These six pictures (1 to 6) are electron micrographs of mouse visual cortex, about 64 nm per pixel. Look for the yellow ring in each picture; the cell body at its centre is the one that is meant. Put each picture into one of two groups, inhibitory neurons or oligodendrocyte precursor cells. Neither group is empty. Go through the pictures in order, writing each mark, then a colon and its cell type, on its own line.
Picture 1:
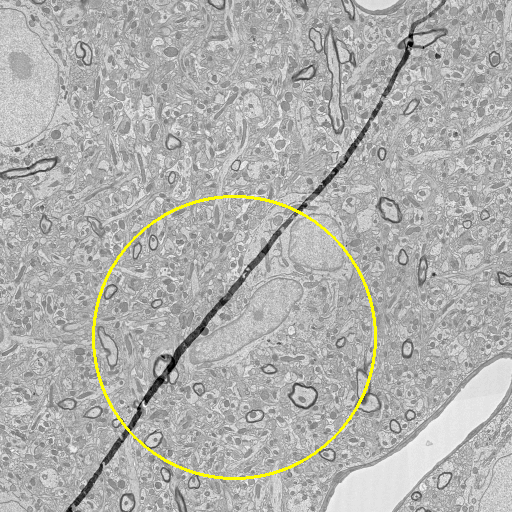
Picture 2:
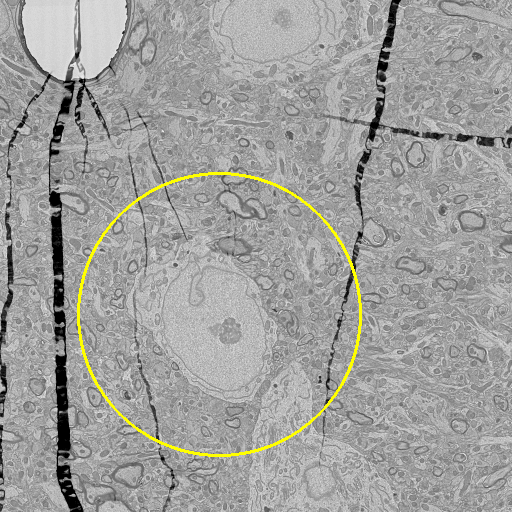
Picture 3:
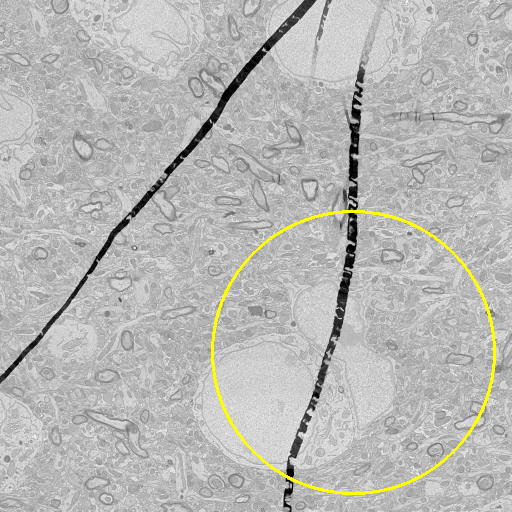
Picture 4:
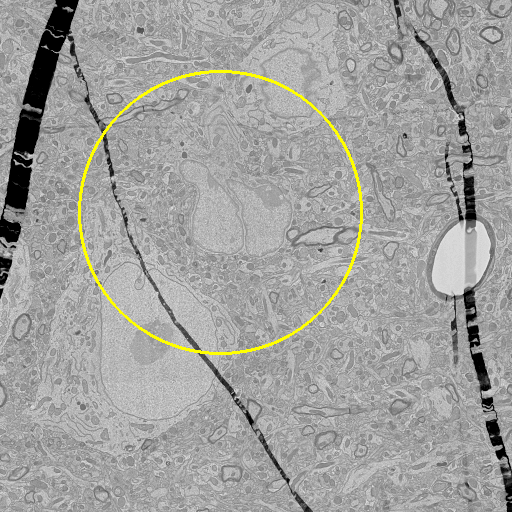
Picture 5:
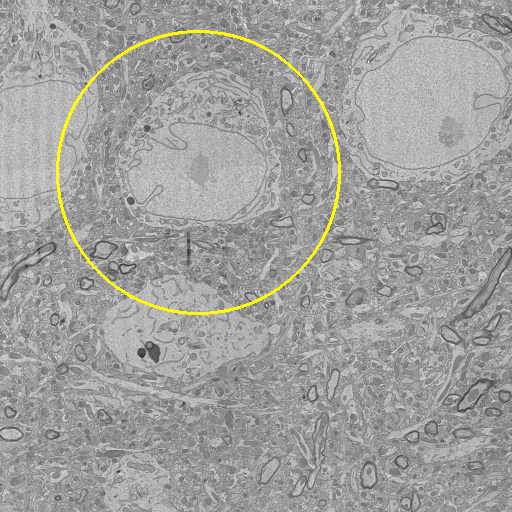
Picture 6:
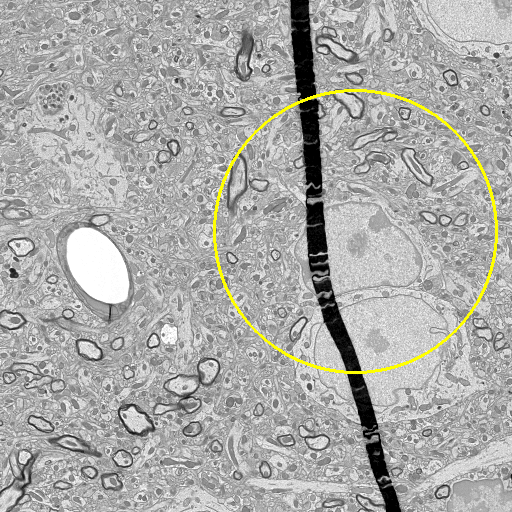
1: oligodendrocyte precursor cell
2: inhibitory neuron
3: oligodendrocyte precursor cell
4: oligodendrocyte precursor cell
5: inhibitory neuron
6: oligodendrocyte precursor cell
